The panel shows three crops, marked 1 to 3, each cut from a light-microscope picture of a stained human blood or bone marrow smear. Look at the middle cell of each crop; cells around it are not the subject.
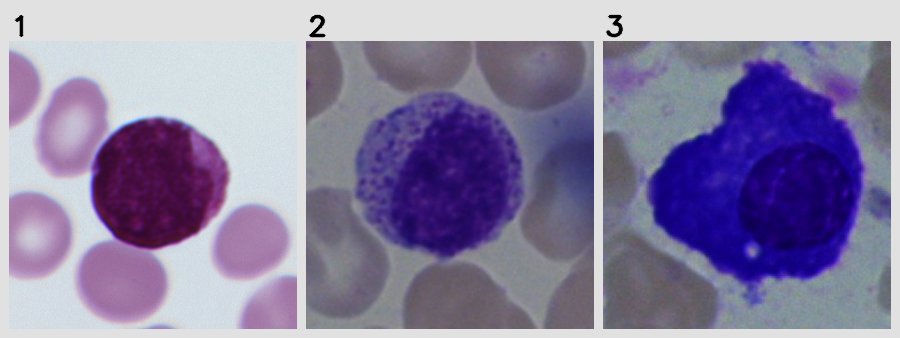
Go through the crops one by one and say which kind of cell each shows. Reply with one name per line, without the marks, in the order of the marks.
blast
myelocyte
plasma cell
